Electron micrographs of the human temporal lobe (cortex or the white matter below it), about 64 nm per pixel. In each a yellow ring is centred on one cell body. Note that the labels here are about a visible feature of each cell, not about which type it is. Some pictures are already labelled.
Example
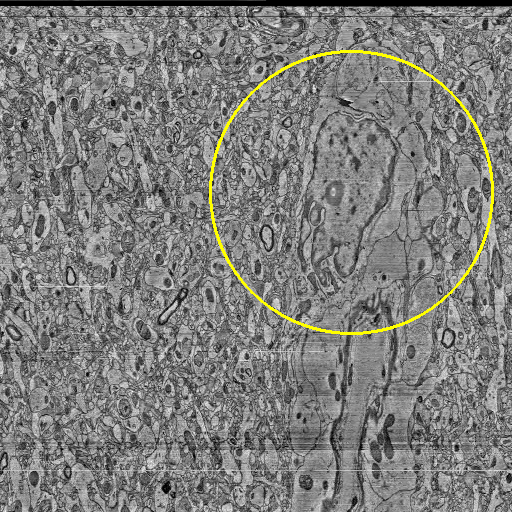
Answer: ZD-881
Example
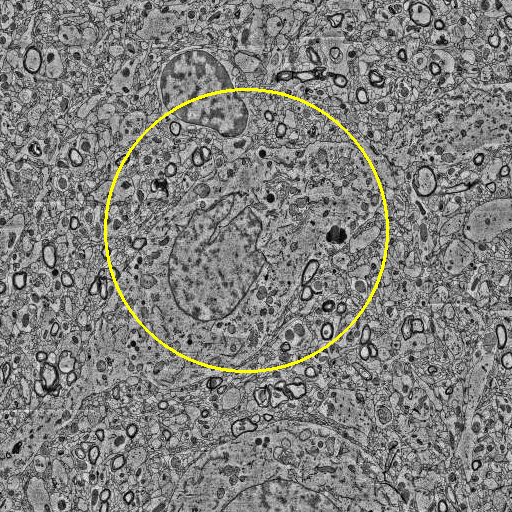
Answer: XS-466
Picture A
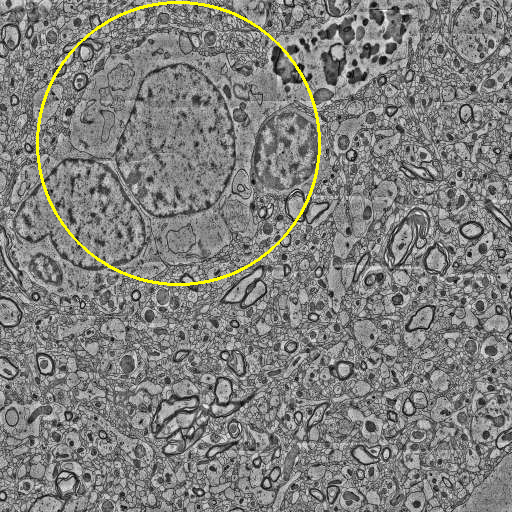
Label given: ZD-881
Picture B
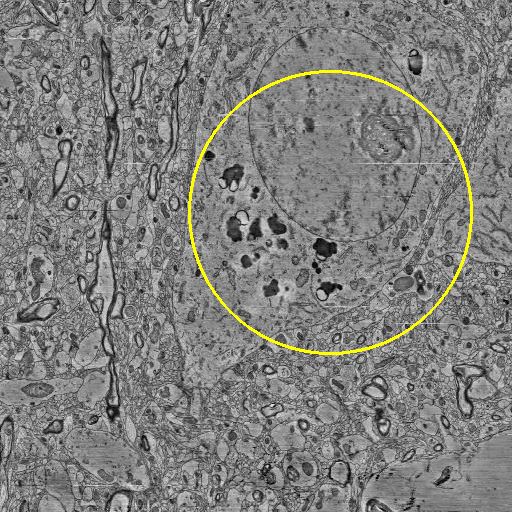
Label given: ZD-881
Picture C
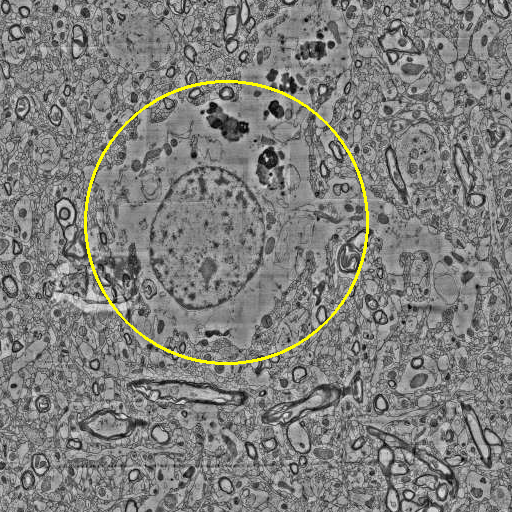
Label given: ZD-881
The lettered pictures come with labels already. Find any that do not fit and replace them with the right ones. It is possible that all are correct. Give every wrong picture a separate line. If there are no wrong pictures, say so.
A is labelled ZD-881; correct label: XS-466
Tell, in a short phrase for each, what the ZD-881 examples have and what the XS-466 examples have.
In ZD-881: nucleolus seen. In XS-466: no nucleolus seen.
